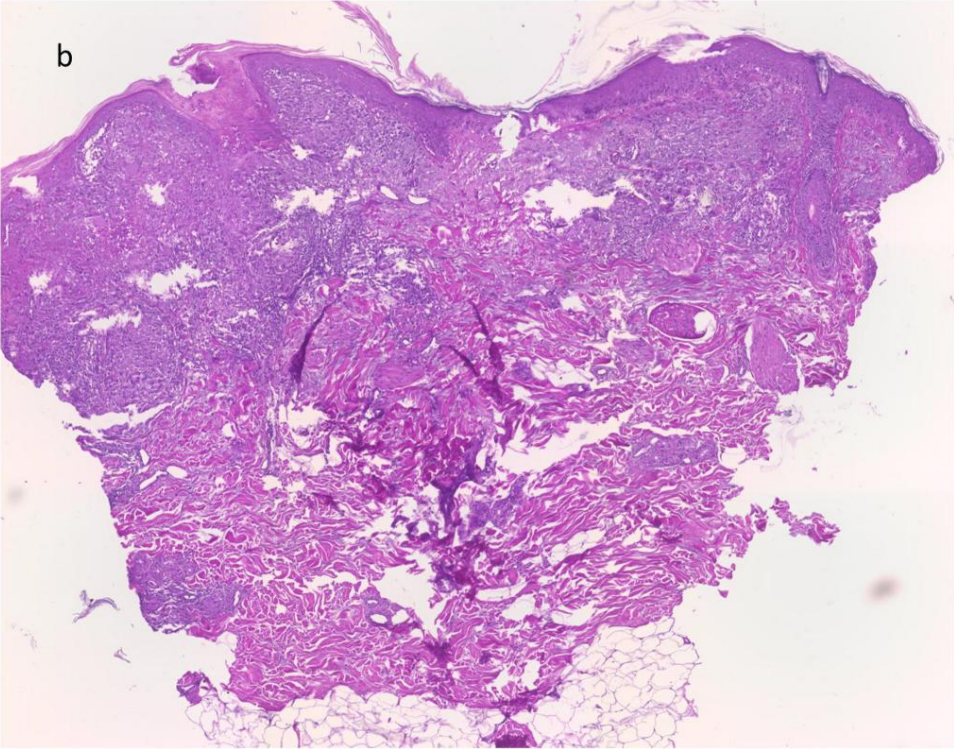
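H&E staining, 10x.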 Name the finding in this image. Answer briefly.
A: Granulomatous inflammation.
